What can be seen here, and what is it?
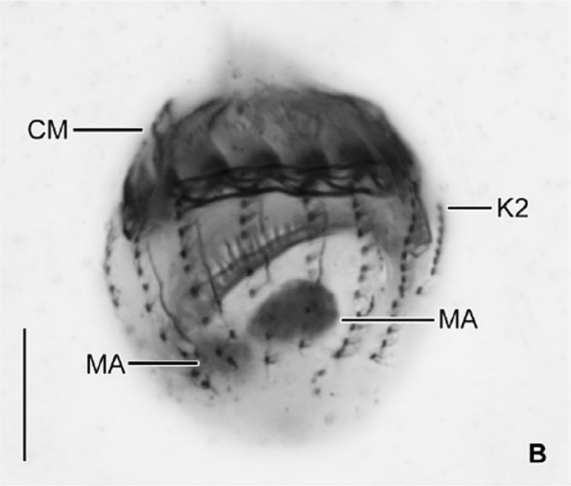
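A dense, dark band of collar membranelles crowns the top of the cell, and beneath it rows of small dark dots, the kineties, run down the body in roughly parallel lines. Two rounded, darkly stained macronucleus nodules lie in the lower half of the cell.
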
